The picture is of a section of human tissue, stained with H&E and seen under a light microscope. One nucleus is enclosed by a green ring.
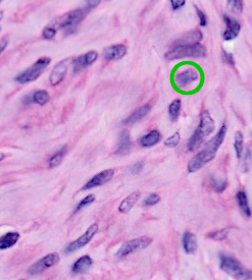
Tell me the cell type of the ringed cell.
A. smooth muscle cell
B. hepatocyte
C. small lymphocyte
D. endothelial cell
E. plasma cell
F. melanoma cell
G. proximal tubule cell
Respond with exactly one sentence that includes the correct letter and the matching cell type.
Here the ringed cell is a smooth muscle cell, which makes option A correct.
